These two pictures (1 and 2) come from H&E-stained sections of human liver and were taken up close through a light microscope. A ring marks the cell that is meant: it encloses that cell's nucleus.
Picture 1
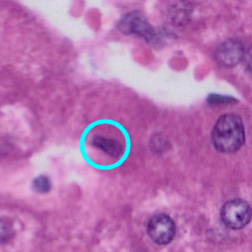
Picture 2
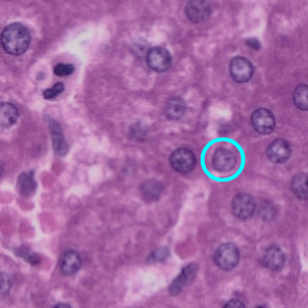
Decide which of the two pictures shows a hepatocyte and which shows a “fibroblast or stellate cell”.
1: fibroblast or stellate cell
2: hepatocyte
